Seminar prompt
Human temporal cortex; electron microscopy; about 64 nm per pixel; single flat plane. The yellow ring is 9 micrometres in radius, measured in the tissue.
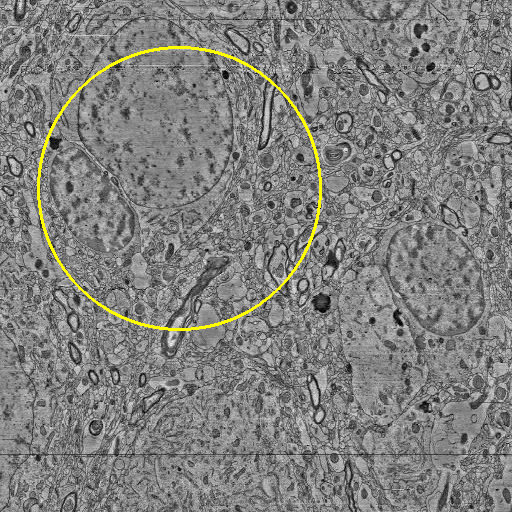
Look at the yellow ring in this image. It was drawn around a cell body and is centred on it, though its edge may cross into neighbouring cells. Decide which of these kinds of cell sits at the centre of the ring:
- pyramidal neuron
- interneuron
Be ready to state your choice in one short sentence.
The kind of cell at the ring's centre is a pyramidal neuron.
